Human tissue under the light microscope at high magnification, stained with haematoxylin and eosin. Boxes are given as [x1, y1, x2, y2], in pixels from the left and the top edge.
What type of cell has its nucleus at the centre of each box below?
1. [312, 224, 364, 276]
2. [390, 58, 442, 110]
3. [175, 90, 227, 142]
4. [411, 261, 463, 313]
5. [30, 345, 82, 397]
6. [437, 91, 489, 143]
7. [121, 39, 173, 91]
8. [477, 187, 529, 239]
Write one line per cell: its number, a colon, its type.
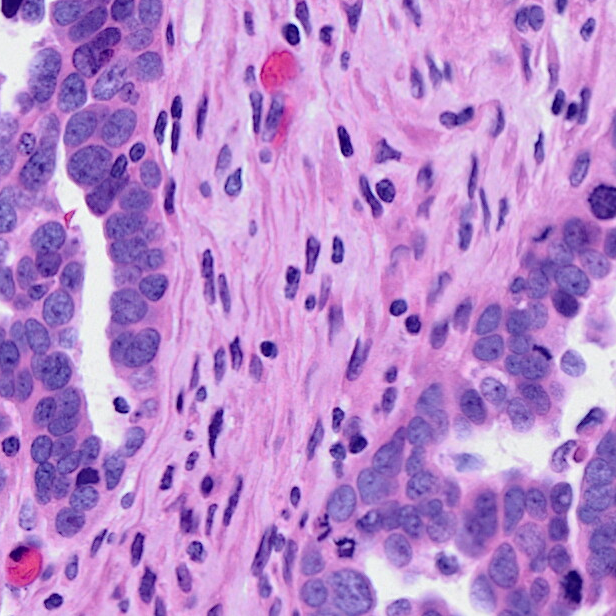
1: lymphocyte
2: fibroblast
3: fibroblast
4: fibroblast
5: carcinoma cell
6: lymphocyte
7: carcinoma cell
8: fibroblast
